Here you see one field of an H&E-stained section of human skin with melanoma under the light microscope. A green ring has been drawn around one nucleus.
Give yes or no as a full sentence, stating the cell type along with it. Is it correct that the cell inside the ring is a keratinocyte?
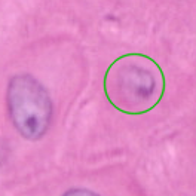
Yes, the statement that the cell inside the ring is a keratinocyte is correct.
